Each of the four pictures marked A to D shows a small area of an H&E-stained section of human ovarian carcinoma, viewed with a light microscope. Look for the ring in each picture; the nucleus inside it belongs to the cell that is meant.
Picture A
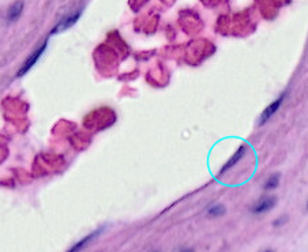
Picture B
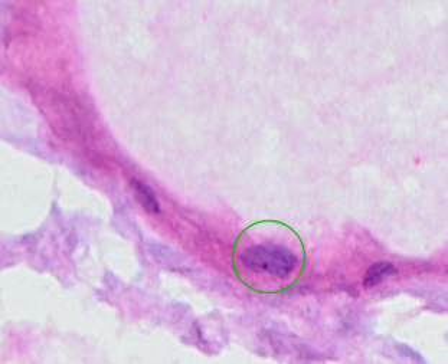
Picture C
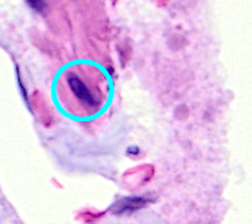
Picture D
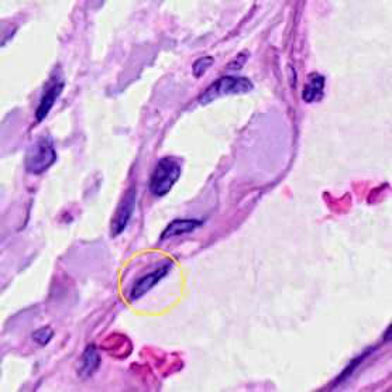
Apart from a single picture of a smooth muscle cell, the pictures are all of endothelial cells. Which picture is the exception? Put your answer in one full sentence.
Picture C shows the smooth muscle cell.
